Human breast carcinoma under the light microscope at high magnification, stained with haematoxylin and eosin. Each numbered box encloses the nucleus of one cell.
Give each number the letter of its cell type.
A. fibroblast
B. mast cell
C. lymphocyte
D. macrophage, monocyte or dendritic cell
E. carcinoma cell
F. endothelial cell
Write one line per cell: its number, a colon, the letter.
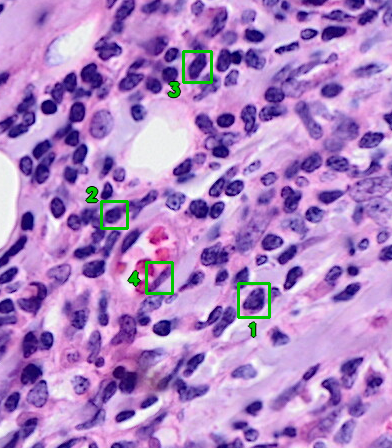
1: C
2: C
3: C
4: F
